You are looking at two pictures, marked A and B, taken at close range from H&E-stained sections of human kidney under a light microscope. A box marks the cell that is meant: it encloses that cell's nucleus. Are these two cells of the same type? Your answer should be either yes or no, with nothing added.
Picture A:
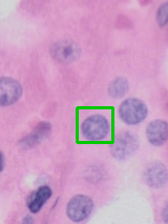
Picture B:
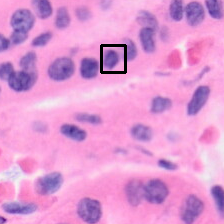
yes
